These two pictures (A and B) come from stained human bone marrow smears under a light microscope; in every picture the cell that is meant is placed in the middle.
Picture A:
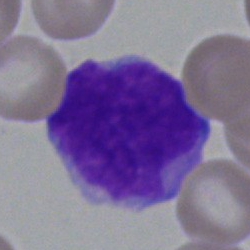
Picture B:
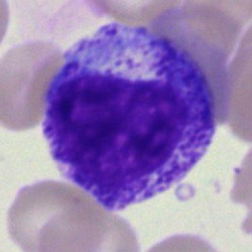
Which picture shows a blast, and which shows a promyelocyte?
A: blast
B: promyelocyte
